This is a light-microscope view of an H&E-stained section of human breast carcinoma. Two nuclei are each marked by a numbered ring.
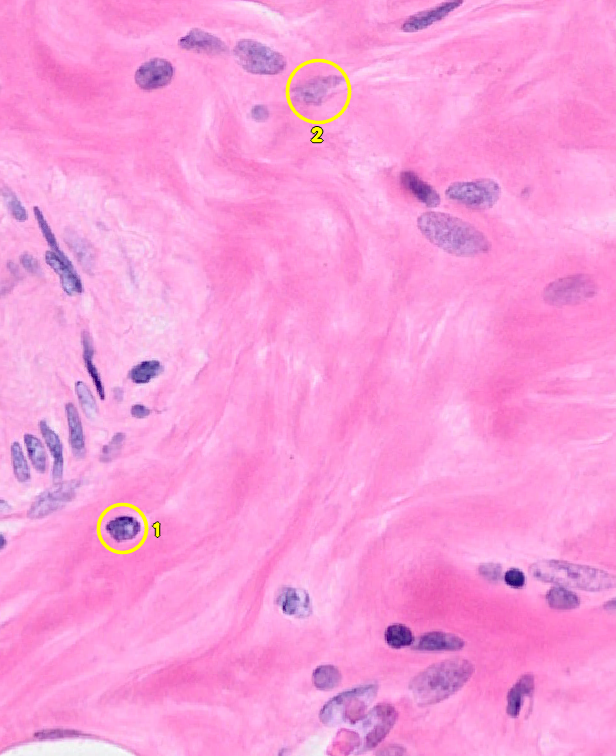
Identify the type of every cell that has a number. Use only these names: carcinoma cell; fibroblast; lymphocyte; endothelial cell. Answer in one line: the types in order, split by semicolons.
lymphocyte; fibroblast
